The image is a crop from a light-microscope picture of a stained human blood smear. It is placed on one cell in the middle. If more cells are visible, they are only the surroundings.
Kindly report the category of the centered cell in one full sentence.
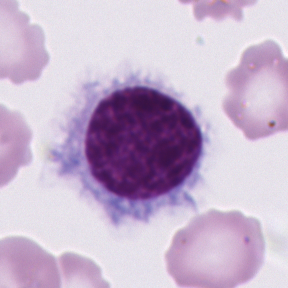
The cell at the centre of the field is a hairy cell.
